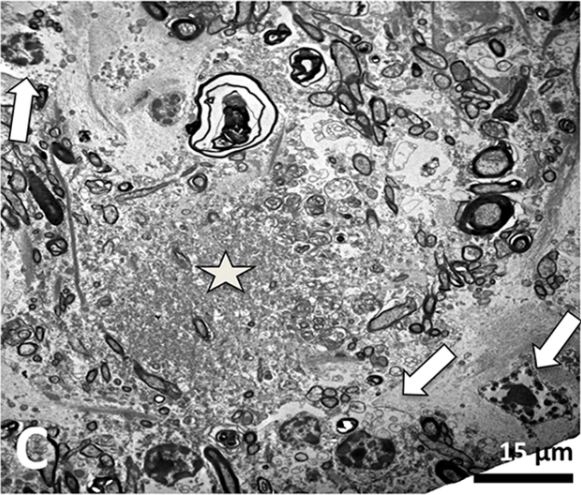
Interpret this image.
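The centre of a demyelinating plaque is filled with a granular mass of small vesicular and membranous profiles with no recognizable organelles. Around it lie myelinated and unmyelinated processes, some degenerated with loose, whorled myelin, and at the rim are cell bodies with dark nuclei.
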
